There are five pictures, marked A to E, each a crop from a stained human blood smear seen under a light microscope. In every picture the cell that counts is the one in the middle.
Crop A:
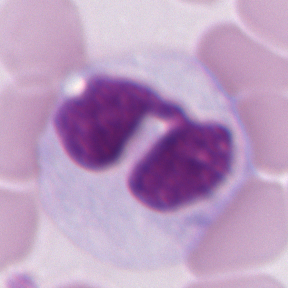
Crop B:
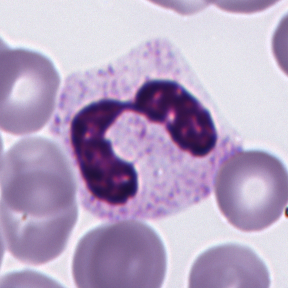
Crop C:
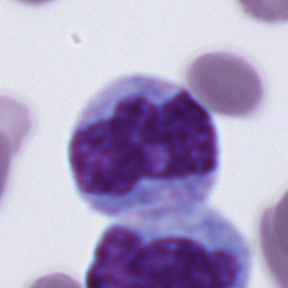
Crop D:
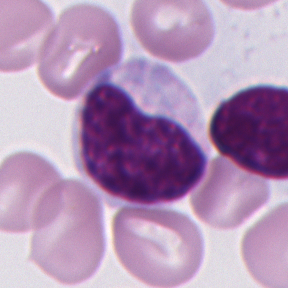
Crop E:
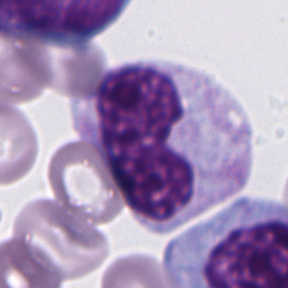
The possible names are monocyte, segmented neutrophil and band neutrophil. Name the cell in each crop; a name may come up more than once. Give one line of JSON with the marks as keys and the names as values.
{"A": "monocyte", "B": "segmented neutrophil", "C": "monocyte", "D": "band neutrophil", "E": "band neutrophil"}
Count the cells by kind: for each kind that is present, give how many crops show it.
monocyte: 2
band neutrophil: 2
segmented neutrophil: 1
